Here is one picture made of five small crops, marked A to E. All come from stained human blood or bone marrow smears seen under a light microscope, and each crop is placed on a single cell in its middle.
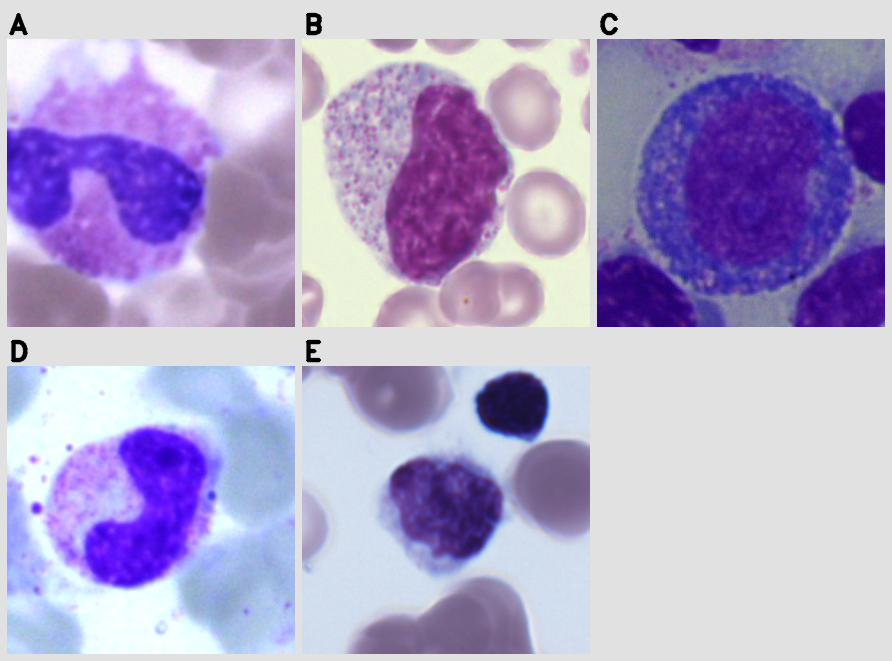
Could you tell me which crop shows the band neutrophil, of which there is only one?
D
